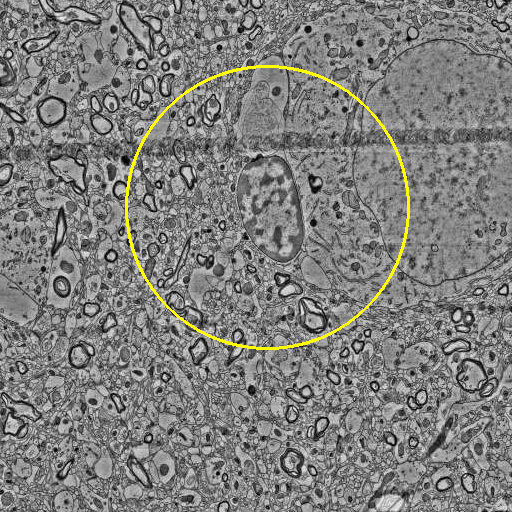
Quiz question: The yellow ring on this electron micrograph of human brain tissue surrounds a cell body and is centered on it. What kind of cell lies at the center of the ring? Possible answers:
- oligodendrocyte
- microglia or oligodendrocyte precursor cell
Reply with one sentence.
The ring's center lies on a microglial cell or oligodendrocyte precursor cell.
